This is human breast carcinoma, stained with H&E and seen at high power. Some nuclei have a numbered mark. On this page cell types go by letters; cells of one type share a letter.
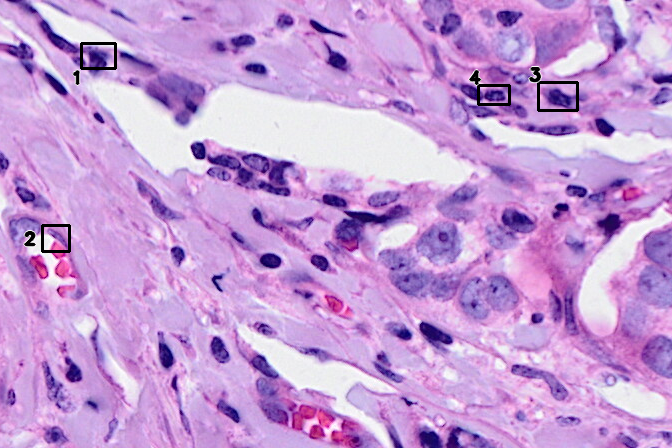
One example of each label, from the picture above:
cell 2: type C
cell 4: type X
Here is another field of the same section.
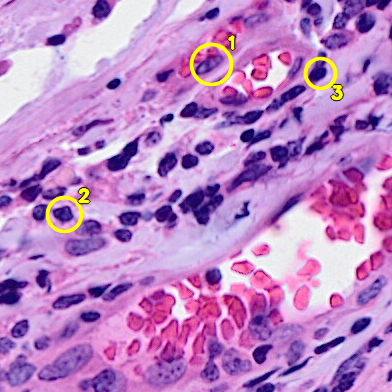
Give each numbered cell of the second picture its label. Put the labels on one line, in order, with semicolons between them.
type C; type X; type X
